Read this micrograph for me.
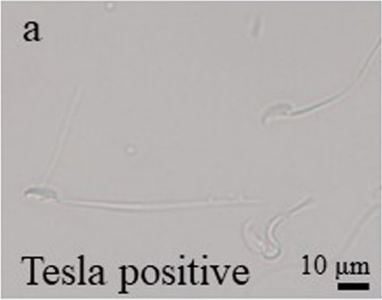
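Against a clear, even background lie a few slender, very long threads, each ending at one end in a small, dense head; at least one head is curved into a hook. The threads are tails, and together with their heads these are single sperm cells, lying free and separate rather than stuck together in clumps. No other cells or debris crowd the field, and the tails run straight or gently bent for most of their length.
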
